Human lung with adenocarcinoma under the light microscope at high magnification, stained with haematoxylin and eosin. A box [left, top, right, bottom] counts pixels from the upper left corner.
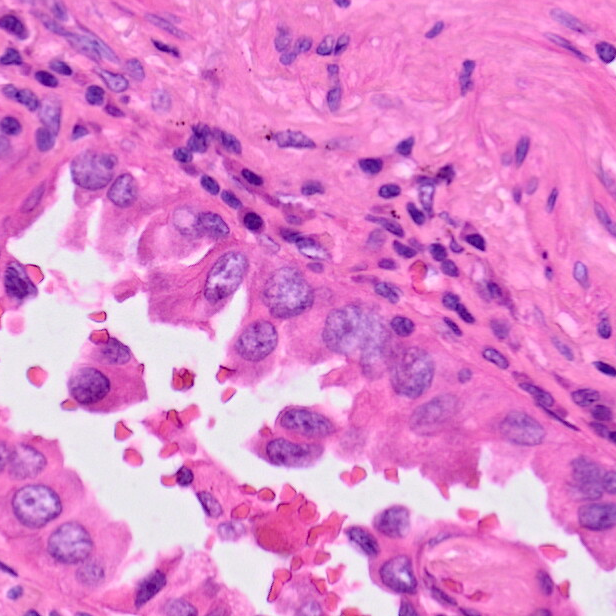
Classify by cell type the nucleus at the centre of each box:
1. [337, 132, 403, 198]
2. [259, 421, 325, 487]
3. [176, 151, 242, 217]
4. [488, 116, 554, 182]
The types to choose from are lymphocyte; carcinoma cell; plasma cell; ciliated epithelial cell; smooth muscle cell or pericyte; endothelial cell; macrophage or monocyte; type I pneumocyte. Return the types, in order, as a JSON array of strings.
["plasma cell", "carcinoma cell", "lymphocyte", "smooth muscle cell or pericyte"]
